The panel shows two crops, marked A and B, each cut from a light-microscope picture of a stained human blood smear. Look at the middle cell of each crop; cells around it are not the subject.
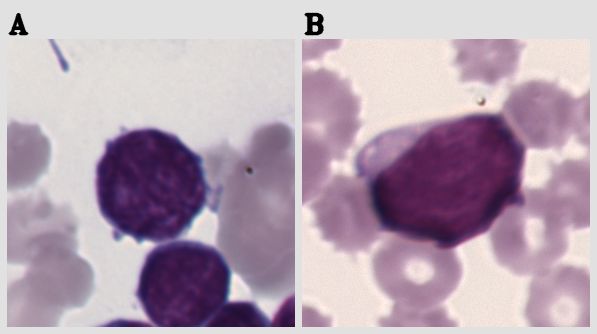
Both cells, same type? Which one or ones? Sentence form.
Yes, they do, both crops show blasts.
